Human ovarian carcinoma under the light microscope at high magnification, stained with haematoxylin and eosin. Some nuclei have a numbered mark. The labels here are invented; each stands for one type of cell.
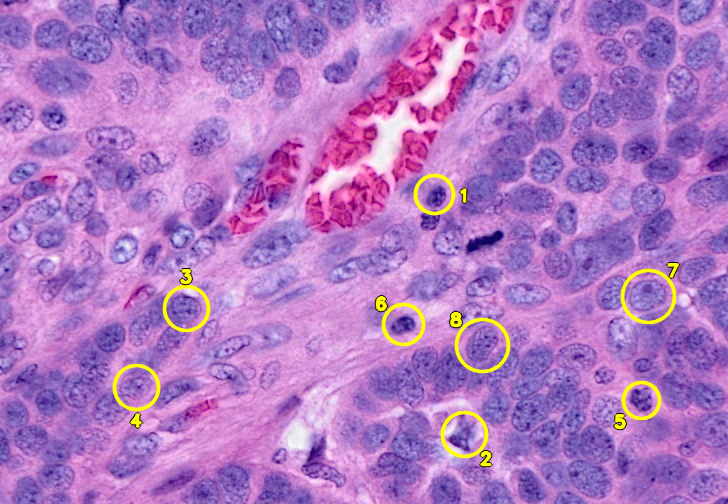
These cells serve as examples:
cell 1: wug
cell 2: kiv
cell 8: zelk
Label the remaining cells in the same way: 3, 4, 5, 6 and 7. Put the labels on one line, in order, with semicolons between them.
zelk; zelk; wug; wug; zelk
